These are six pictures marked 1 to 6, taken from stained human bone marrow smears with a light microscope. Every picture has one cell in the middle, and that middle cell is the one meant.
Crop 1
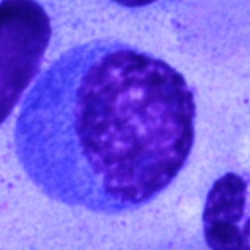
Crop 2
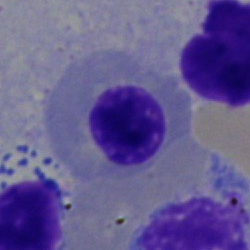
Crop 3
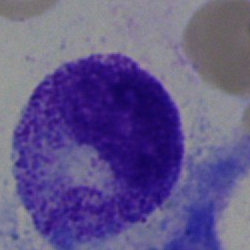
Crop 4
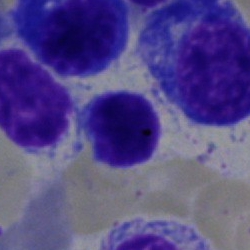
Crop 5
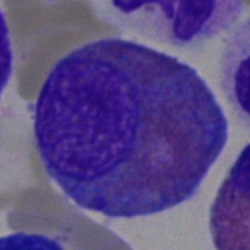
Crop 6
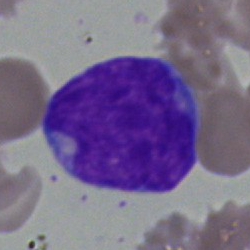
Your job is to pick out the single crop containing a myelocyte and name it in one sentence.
Among all the crops given here, the one with a myelocyte is crop 3.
